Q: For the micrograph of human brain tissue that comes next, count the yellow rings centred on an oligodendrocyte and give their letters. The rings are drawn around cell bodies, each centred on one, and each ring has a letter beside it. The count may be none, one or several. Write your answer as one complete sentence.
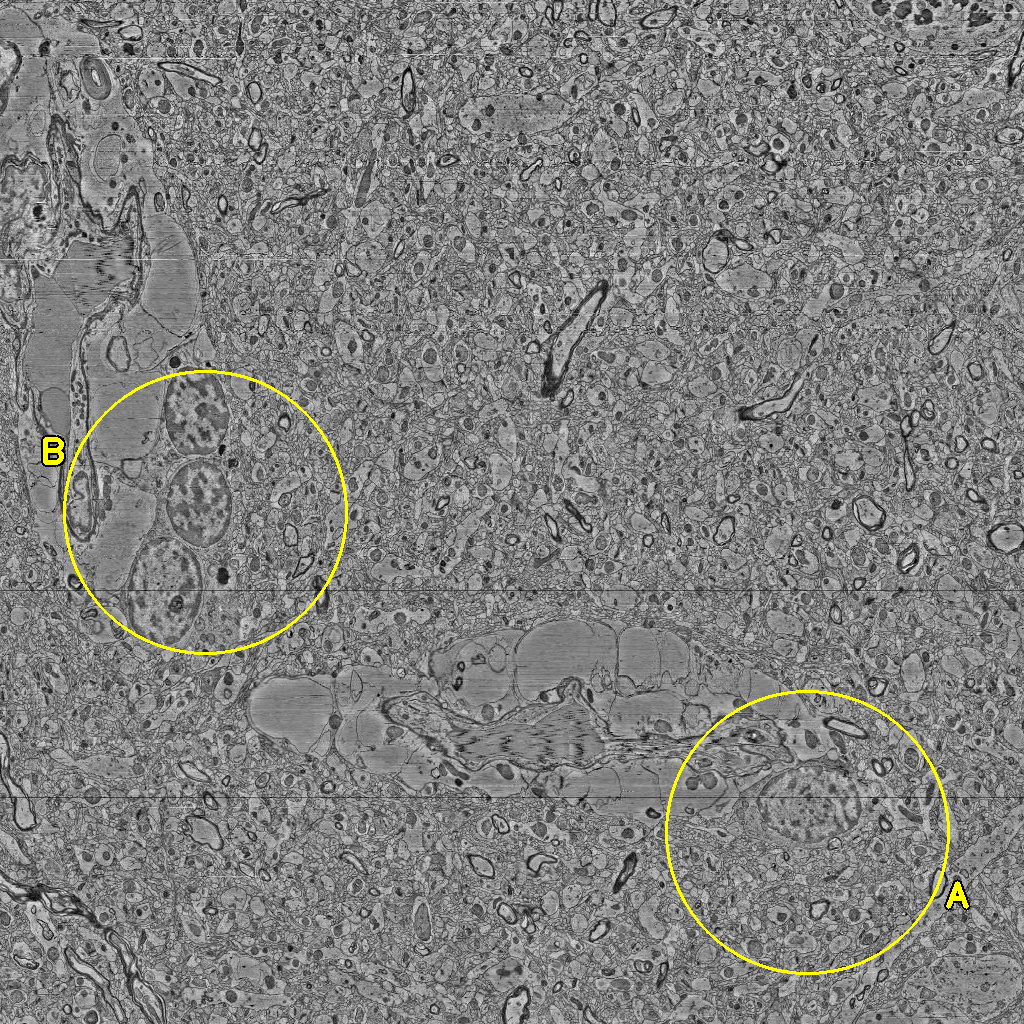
Every ring in the group lettered A and B is centred on an oligodendrocyte, and the group numbers two.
